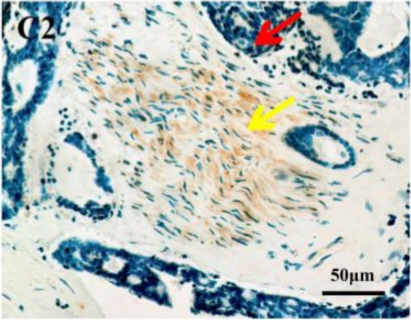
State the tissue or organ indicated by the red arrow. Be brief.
tumor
